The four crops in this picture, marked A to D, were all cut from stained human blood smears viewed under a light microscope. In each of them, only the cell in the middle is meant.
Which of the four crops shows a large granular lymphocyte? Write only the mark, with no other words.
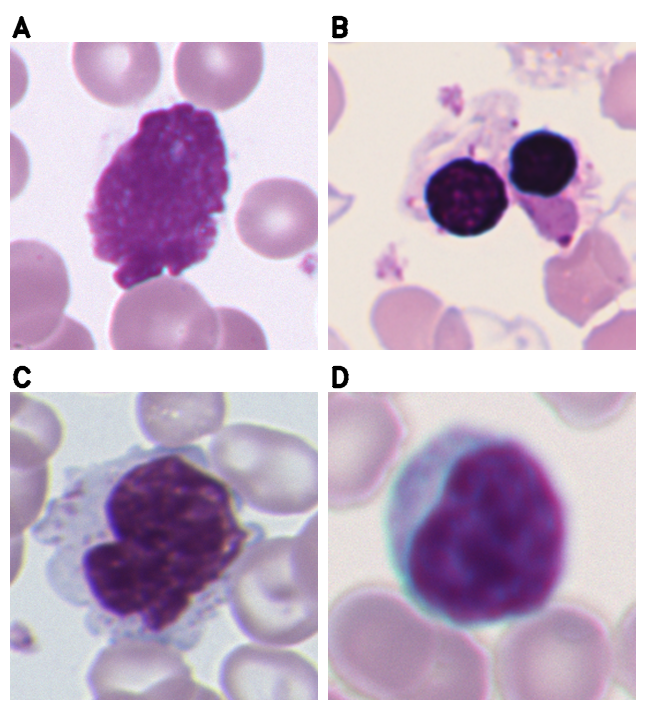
C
